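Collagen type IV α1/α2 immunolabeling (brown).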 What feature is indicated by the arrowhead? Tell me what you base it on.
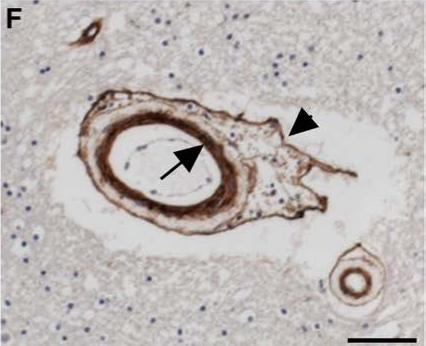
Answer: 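Adventitial layer. The arrowhead points to a thin brown outer layer at the edge of the vessel facing the perivascular space.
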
